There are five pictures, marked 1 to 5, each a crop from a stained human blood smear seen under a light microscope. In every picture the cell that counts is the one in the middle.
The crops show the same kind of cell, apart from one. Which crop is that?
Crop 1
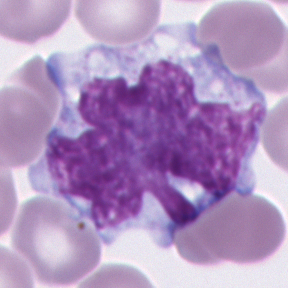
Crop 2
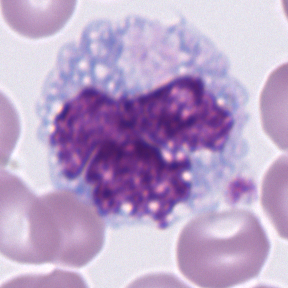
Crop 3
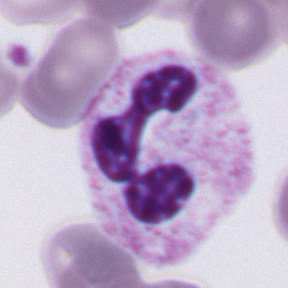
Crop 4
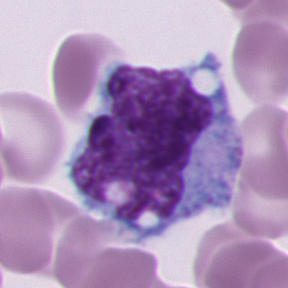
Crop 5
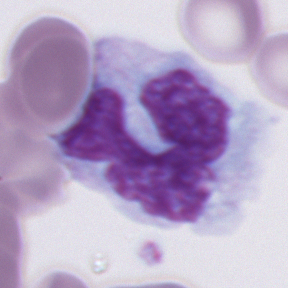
3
